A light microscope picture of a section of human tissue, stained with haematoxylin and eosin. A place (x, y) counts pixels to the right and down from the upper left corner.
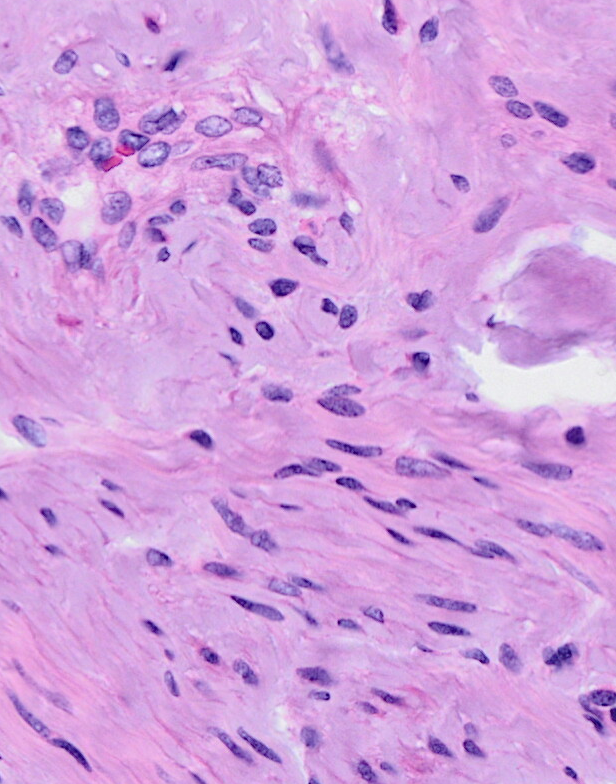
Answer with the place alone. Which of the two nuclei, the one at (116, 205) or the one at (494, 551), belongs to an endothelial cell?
(116, 205)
